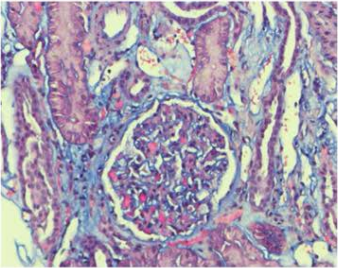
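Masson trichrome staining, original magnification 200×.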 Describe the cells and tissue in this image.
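This is kidney tissue with a round glomerulus at the centre, surrounded by tubules and interstitium. The glomerulus shows a tuft of capillary loops with scattered red-stained structures, enclosed by a thin capsule and a clear space. Around it, tubules lined by cells with pink-red cytoplasm are cut in various planes. Blue-stained connective tissue fills the spaces between the tubules and surrounds the glomerulus.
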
